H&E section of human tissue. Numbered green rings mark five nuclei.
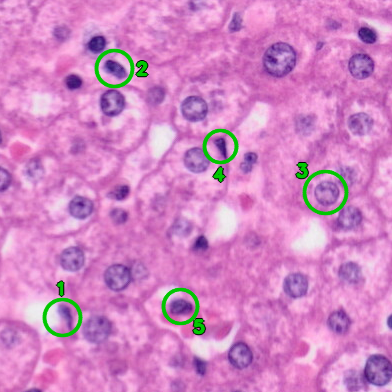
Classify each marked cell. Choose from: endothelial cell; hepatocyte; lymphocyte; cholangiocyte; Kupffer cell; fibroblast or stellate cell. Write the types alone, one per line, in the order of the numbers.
endothelial cell
lymphocyte
hepatocyte
fibroblast or stellate cell
Kupffer cell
